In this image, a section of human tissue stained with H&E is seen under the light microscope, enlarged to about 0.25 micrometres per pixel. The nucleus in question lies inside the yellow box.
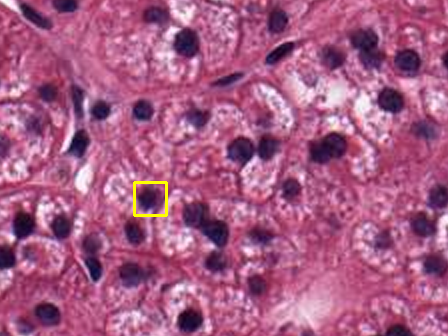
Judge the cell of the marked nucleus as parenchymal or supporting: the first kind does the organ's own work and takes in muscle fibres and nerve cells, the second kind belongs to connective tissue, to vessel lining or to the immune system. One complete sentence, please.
The cell bearing the marked nucleus is a parenchymal cell, namely an adrenal cortical cell.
